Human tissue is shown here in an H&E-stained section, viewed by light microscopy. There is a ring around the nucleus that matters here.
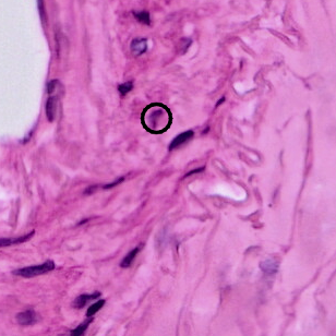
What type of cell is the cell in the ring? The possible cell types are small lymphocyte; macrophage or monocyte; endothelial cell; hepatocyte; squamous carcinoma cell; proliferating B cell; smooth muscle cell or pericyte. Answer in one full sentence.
For the purposes of cell typing, the cell in the ring is categorized as a smooth muscle cell or pericyte.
